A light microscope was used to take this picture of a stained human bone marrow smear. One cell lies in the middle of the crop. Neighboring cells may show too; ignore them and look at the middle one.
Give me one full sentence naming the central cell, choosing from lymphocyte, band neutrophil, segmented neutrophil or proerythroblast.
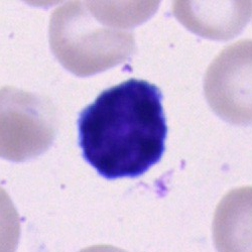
As for the central cell, it is a lymphocyte.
